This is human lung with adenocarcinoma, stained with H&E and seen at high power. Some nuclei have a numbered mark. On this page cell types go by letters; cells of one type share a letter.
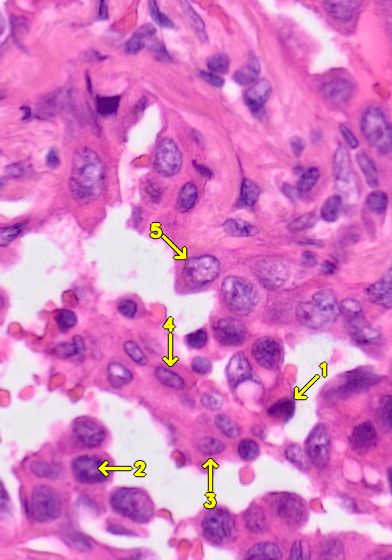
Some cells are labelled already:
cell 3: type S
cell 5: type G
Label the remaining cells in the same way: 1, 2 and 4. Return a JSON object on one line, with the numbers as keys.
{"1": "type G", "2": "type G", "4": "type S"}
